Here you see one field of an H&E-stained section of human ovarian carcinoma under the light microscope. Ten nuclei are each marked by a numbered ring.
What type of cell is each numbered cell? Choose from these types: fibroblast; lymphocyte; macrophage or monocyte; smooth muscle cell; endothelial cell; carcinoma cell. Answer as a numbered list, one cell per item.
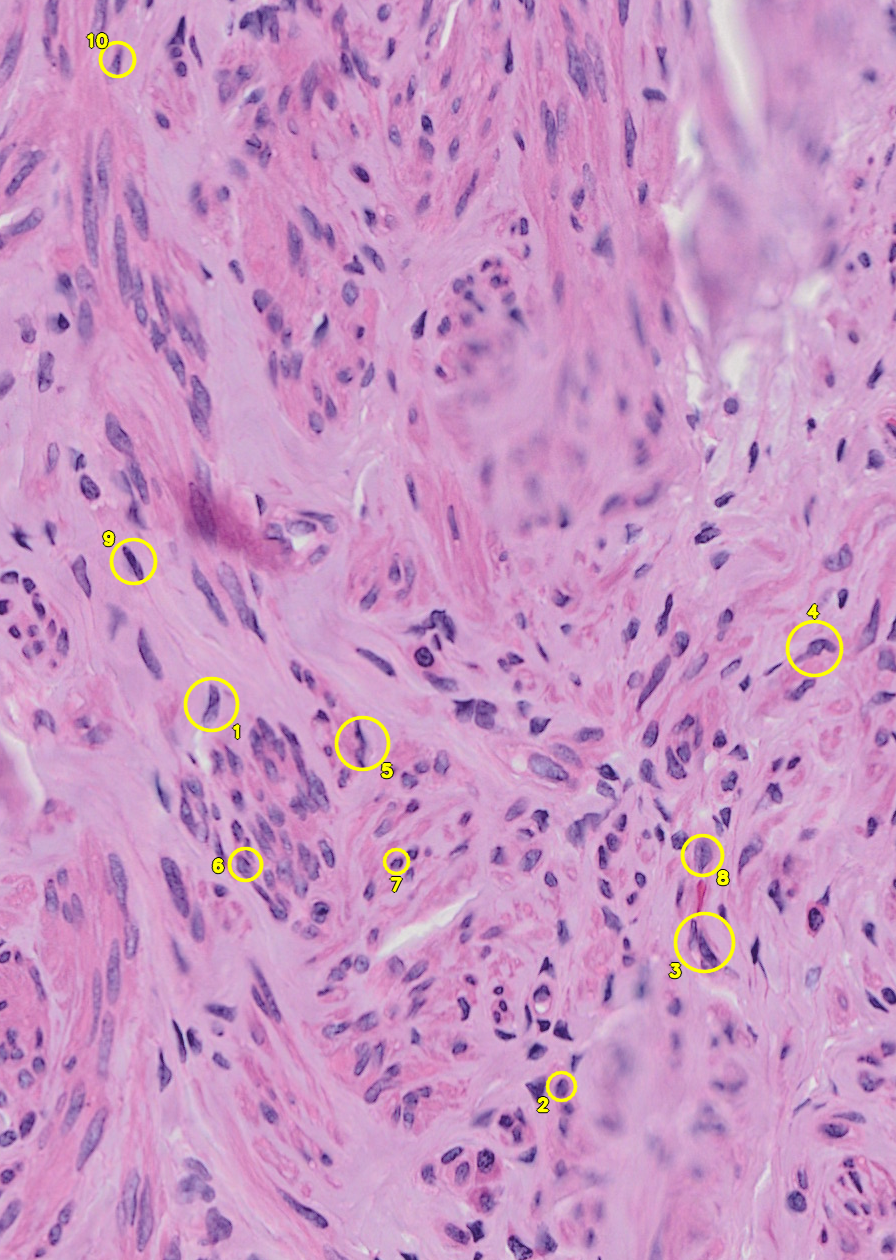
1. fibroblast
2. smooth muscle cell
3. endothelial cell
4. smooth muscle cell
5. smooth muscle cell
6. smooth muscle cell
7. smooth muscle cell
8. endothelial cell
9. fibroblast
10. smooth muscle cell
